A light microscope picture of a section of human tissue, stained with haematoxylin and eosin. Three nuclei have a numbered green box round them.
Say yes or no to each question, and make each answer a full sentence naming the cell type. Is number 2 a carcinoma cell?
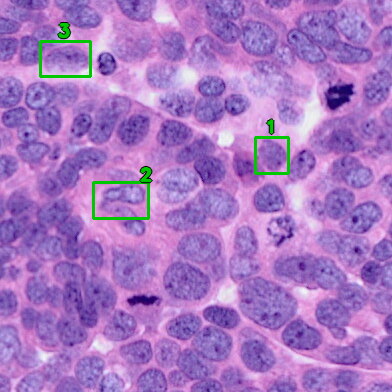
No, the cell at marker 2 is not a carcinoma cell; it is a fibroblast.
